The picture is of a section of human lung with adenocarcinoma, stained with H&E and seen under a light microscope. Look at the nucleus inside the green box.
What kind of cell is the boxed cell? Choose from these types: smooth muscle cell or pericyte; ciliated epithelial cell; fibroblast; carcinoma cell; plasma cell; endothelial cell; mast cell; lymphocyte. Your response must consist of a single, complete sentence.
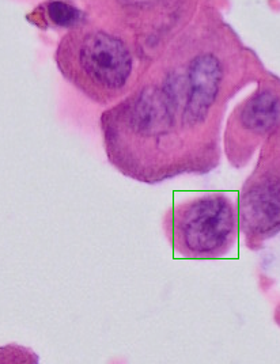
As a matter of cell type, the boxed cell is a carcinoma cell.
